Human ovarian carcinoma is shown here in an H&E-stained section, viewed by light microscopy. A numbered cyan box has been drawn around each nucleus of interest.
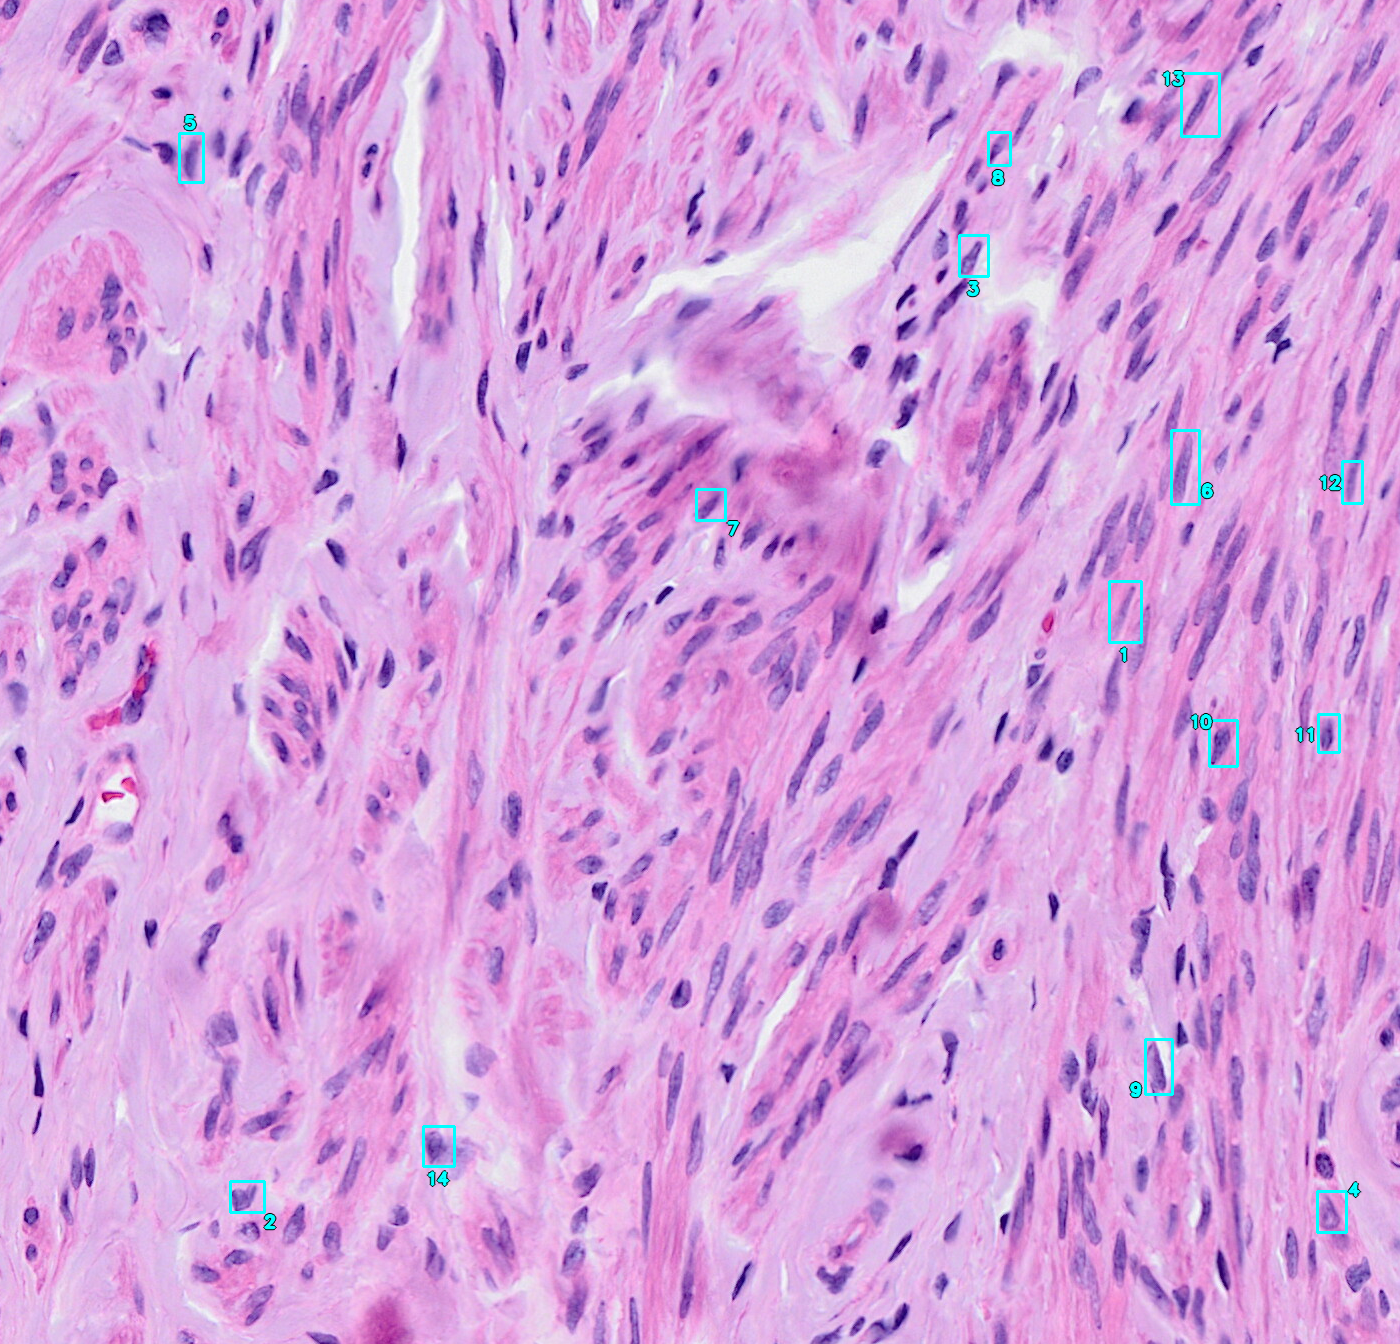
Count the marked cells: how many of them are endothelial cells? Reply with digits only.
1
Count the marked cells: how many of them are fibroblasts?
5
